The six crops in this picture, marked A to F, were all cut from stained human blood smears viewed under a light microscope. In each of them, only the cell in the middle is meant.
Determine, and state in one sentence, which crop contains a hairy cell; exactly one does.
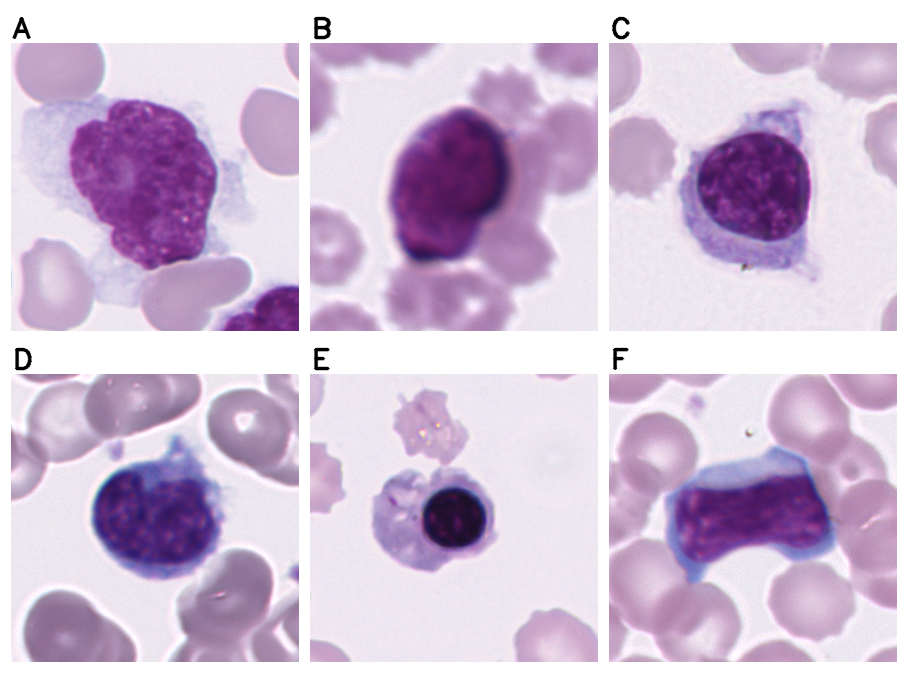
The one crop that shows a hairy cell is crop A.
